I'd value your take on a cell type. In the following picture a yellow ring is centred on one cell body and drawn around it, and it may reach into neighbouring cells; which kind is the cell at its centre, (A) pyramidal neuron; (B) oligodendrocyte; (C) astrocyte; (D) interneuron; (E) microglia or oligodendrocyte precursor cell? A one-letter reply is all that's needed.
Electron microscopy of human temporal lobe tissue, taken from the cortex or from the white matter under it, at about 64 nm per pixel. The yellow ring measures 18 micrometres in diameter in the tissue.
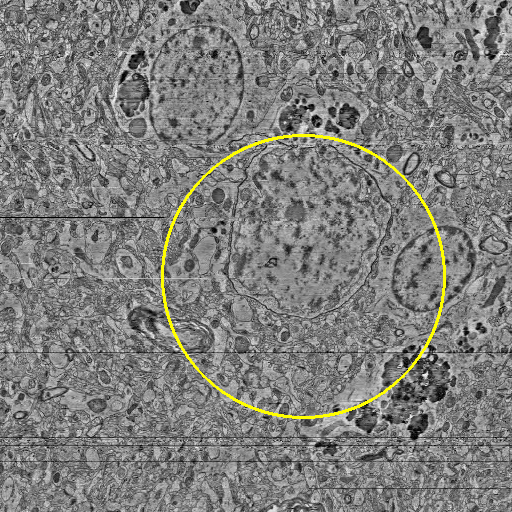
D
